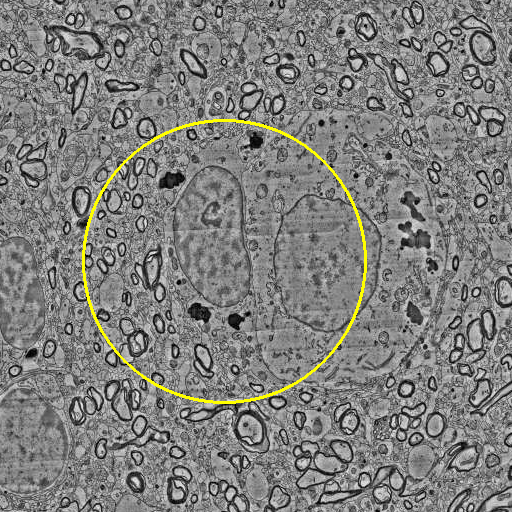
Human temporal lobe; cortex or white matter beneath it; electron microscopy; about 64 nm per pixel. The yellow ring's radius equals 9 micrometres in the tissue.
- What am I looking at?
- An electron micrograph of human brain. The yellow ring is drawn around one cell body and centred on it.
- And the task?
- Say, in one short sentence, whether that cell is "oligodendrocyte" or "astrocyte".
The cell in the middle of the ring is an oligodendrocyte.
